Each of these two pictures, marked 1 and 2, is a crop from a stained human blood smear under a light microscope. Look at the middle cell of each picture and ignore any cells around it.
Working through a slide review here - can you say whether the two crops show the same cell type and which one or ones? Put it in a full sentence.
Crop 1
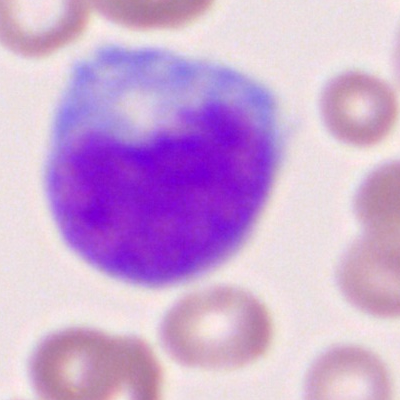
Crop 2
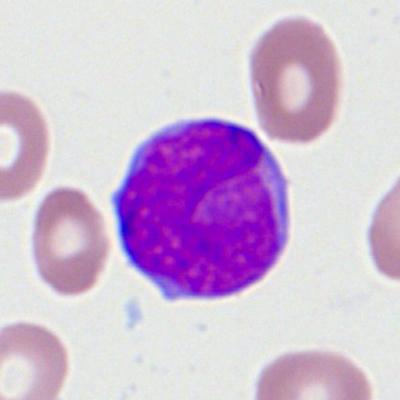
No, a monocyte and a myeloblast are found in crop 1 and crop 2, respectively.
